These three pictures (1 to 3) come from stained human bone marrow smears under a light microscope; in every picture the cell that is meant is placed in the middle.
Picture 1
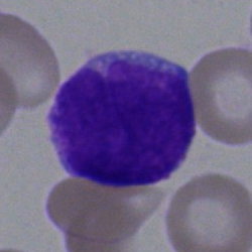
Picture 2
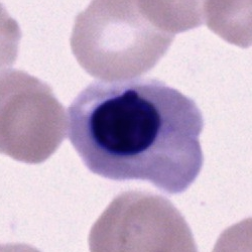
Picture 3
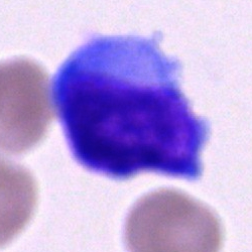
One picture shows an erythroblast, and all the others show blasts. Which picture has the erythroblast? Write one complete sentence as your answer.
The erythroblast is the one in picture 2.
